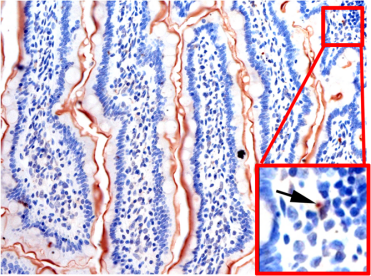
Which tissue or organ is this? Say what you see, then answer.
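Long finger-like villi project side by side. Each villus is covered by a single layer of tall columnar epithelium with elongated nuclei. Villus cores contain loose connective tissue with scattered cells. On this evidence: intestine.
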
